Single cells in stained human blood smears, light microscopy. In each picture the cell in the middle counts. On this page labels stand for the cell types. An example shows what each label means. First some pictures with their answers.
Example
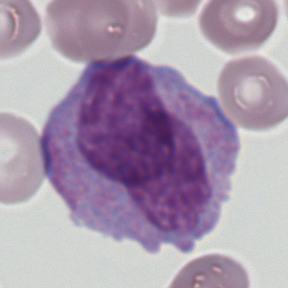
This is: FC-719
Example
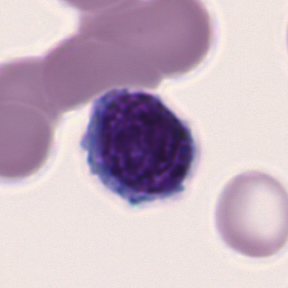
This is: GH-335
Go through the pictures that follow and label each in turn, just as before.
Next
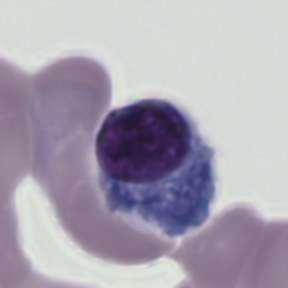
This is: GH-335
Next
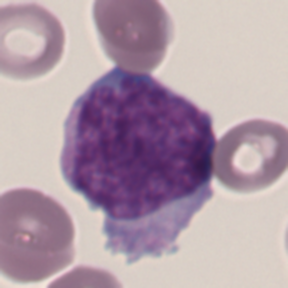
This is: FC-719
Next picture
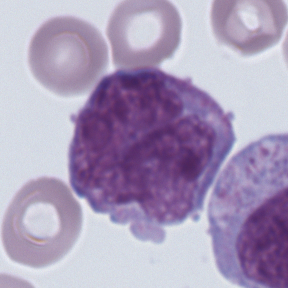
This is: FC-719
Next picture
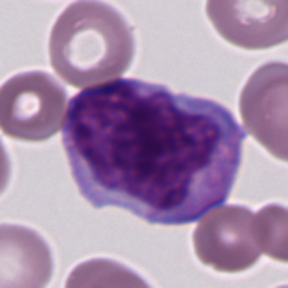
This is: FC-719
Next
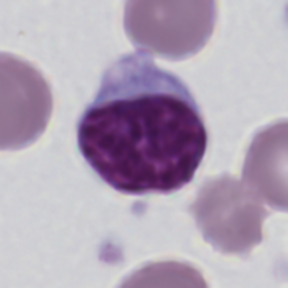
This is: GH-335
